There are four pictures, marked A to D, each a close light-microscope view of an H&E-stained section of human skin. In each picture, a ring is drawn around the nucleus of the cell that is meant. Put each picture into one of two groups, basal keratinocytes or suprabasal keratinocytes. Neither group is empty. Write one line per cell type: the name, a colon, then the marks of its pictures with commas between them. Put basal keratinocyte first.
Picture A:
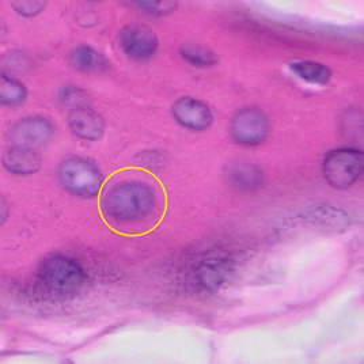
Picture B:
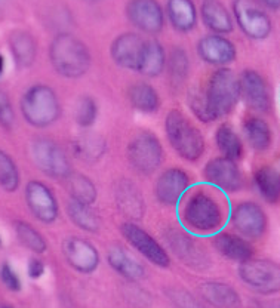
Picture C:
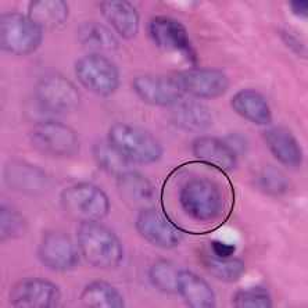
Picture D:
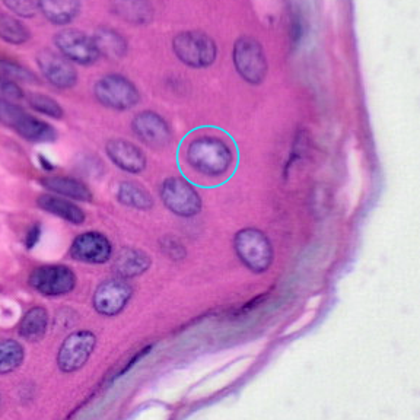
basal keratinocyte: B, C
suprabasal keratinocyte: A, D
